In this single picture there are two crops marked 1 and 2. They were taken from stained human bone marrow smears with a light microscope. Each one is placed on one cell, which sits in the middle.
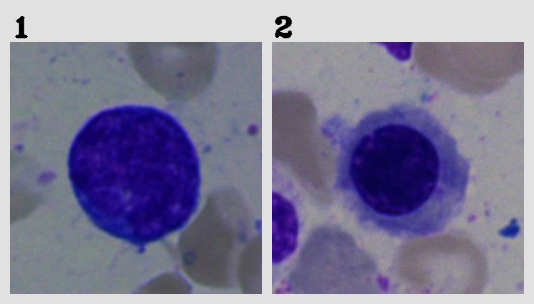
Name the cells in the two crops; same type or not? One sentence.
No, crop 1 depicts a blast; crop 2 depicts a normoblast.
